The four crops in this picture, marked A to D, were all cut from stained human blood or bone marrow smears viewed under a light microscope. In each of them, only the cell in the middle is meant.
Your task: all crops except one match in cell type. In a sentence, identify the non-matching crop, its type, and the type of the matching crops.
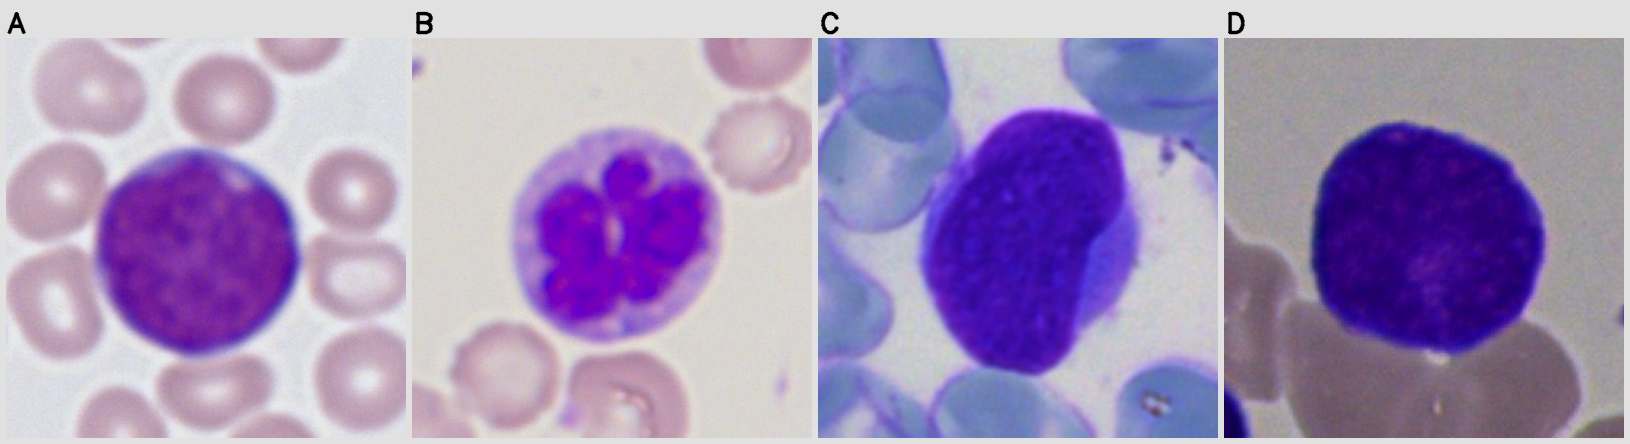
With the other crops all showing blasts, crop B differs by showing a monocyte.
